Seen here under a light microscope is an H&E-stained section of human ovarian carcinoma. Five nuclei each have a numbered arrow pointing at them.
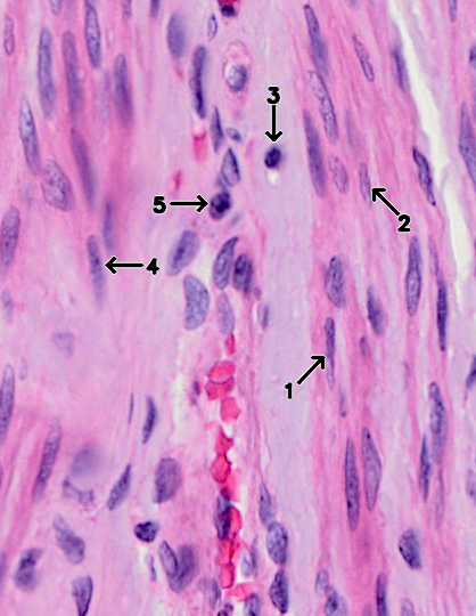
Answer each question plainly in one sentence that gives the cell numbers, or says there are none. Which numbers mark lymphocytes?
The cells referred to by the numbers 3 and 5 are lymphocytes.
